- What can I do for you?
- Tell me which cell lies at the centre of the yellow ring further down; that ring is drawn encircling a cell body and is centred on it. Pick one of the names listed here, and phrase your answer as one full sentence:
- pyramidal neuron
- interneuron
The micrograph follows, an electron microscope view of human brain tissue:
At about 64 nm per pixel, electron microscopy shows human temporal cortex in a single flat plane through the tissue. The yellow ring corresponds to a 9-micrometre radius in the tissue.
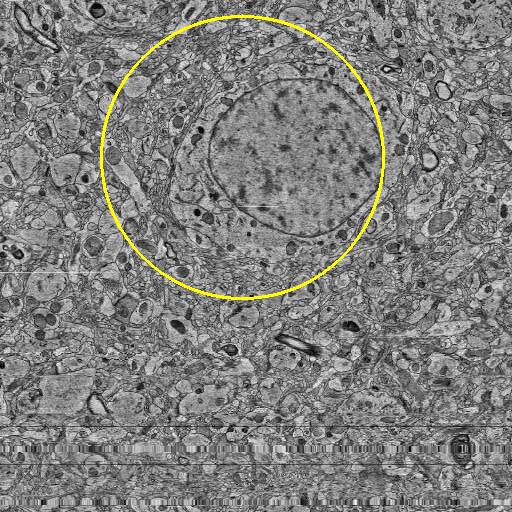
The cell whose body lies at the centre of the yellow ring is a pyramidal neuron.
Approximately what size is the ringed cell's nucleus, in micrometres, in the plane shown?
In this plane, approximately 11 micrometres across.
